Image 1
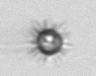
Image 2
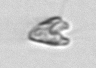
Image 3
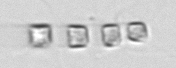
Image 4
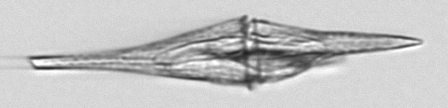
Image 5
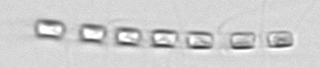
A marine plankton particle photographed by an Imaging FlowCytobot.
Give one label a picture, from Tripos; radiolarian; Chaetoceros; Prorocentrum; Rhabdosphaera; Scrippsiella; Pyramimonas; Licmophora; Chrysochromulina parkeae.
1. Rhabdosphaera
2. Pyramimonas
3. Chaetoceros
4. Tripos
5. Chaetoceros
